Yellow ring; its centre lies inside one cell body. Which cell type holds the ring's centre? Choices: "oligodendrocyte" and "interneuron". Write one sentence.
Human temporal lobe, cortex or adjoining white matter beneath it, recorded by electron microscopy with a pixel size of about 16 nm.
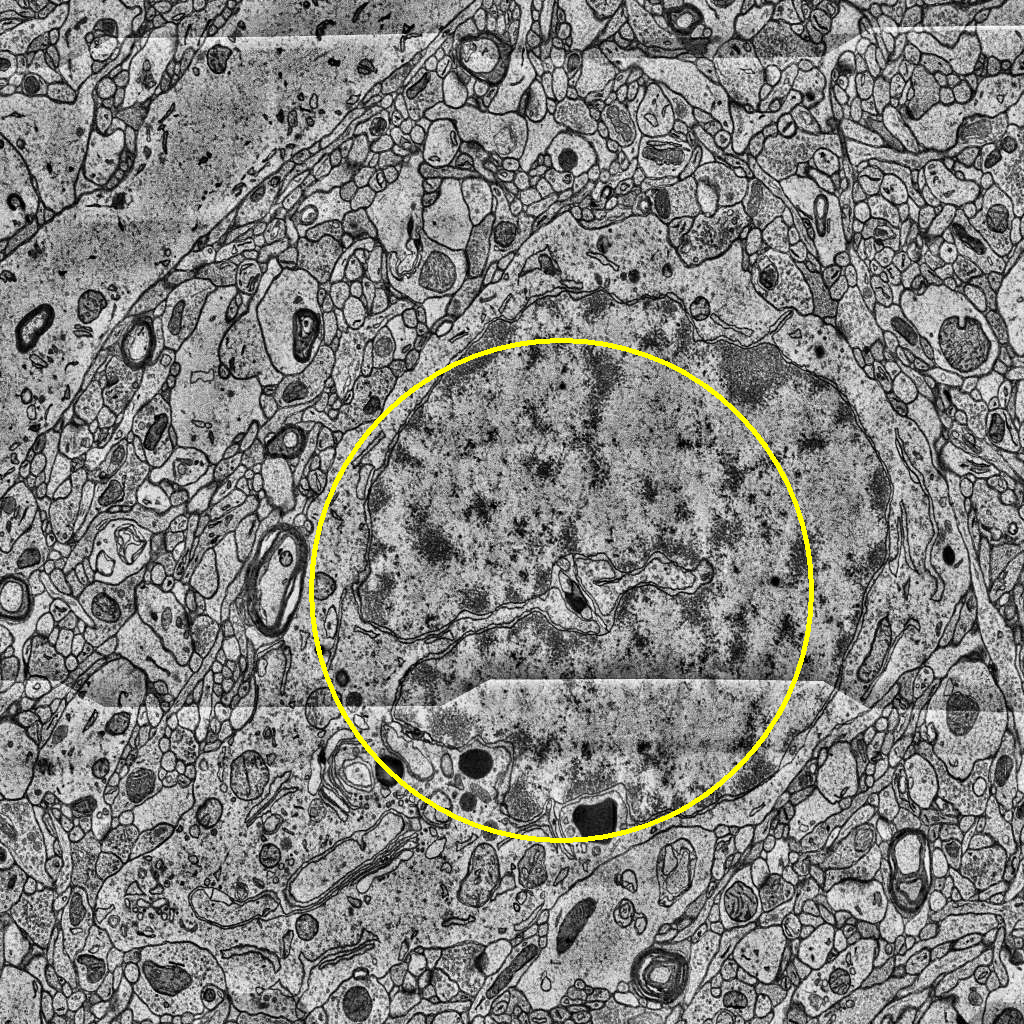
At the centre of the ring sits an interneuron.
